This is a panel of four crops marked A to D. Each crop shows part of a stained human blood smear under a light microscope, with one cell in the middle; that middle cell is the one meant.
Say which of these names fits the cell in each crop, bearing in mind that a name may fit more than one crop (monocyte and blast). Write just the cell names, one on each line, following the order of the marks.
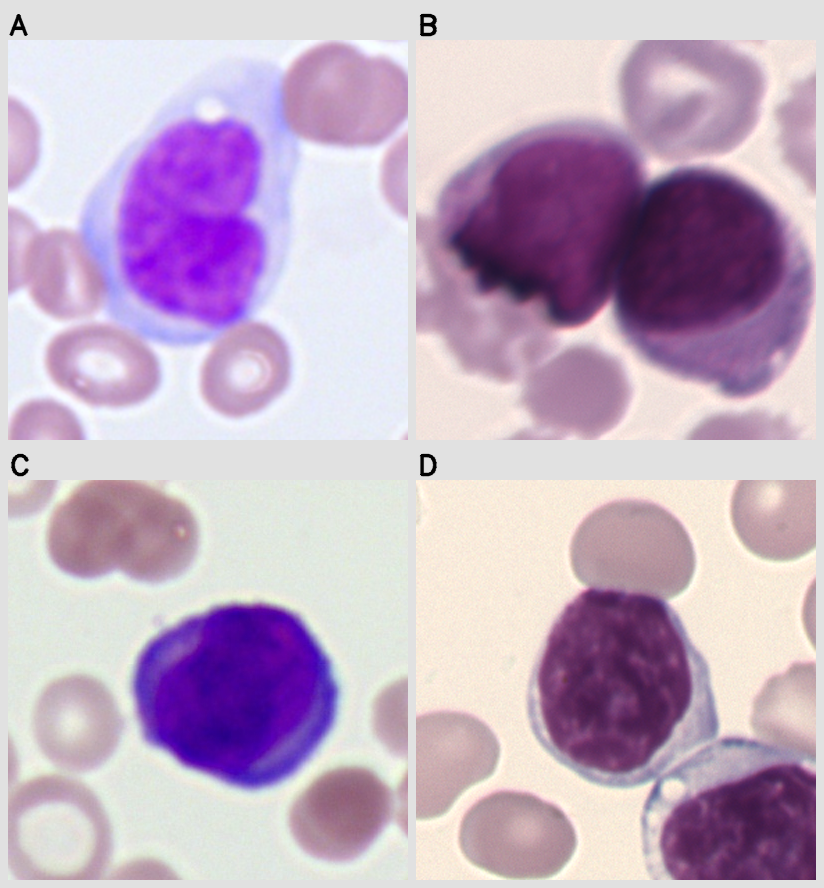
monocyte
blast
blast
blast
